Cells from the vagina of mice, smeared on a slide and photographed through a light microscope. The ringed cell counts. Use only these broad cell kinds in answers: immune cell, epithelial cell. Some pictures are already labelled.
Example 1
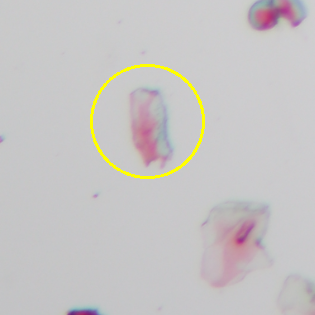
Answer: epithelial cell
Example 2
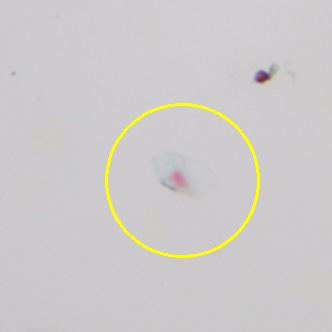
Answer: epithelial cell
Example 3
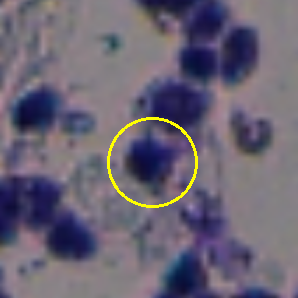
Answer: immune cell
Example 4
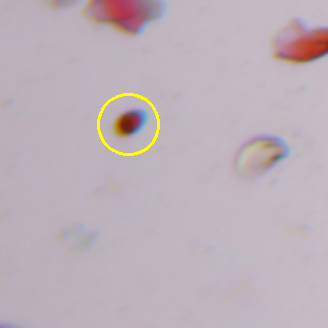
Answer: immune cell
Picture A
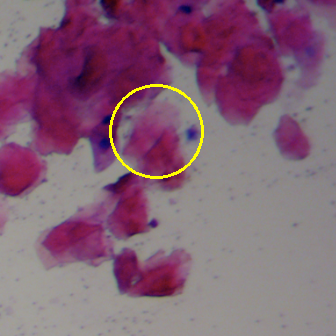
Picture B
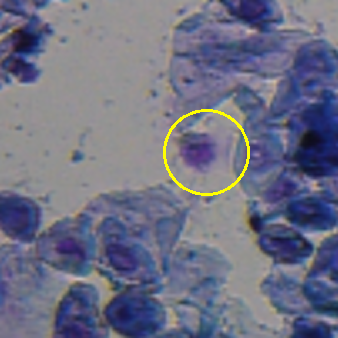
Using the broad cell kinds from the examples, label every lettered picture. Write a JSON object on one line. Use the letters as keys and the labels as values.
{"A": "epithelial cell", "B": "epithelial cell"}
